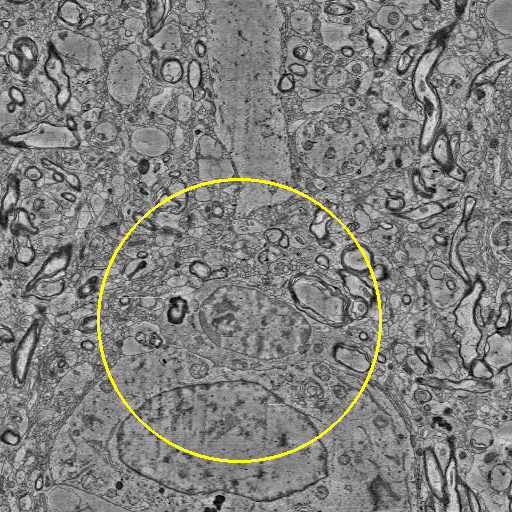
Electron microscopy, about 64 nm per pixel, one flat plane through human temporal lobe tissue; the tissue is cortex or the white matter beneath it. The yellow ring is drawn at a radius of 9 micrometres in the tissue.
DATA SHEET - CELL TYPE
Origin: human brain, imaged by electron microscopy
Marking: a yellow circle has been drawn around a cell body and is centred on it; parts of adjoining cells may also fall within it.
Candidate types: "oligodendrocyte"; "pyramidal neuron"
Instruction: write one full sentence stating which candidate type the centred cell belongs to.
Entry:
The cell body at the centre of the yellow ring in this micrograph belongs to an oligodendrocyte.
